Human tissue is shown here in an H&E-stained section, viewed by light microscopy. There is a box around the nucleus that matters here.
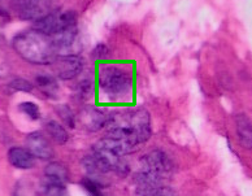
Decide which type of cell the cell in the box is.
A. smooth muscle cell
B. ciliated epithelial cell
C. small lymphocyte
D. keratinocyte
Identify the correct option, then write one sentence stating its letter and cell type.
The correct identification, the cell in the box as a ciliated epithelial cell, is given by option B.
